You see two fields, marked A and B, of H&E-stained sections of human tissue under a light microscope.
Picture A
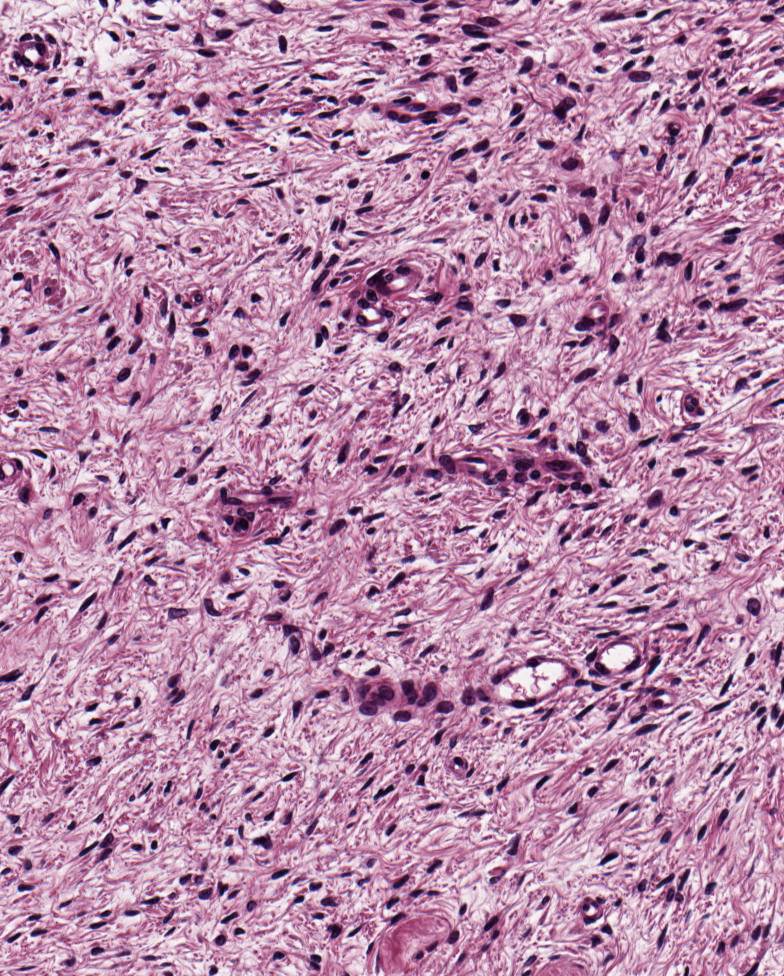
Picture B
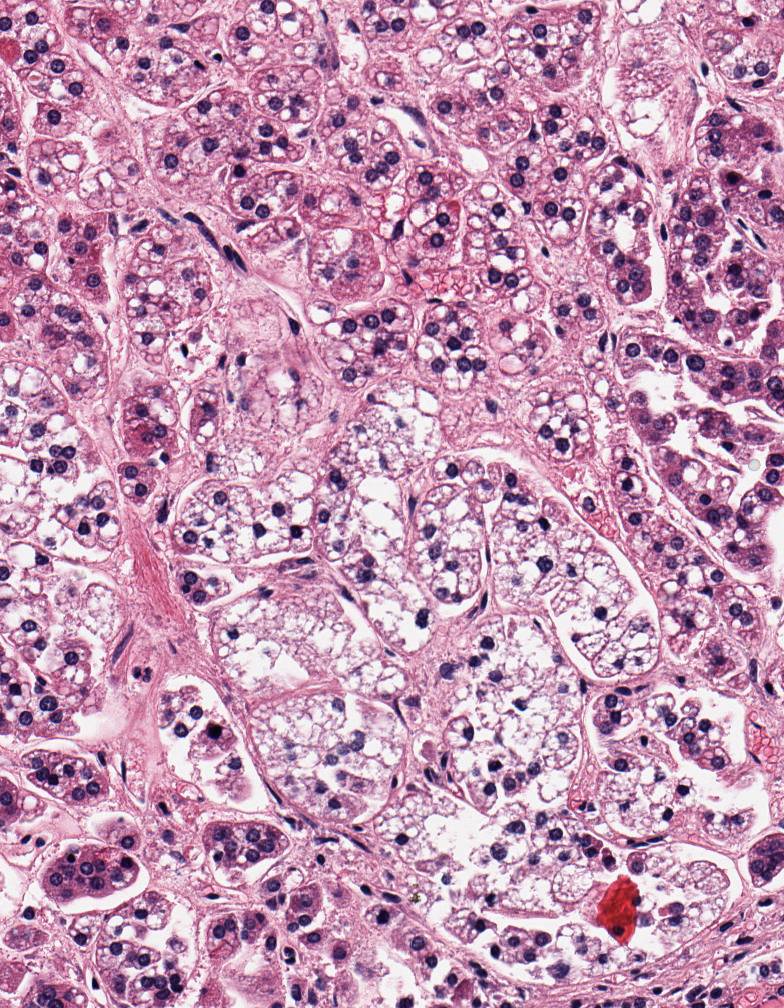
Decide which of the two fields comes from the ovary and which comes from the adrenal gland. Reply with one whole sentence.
Picture A comes from the ovary; picture B comes from the adrenal gland.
